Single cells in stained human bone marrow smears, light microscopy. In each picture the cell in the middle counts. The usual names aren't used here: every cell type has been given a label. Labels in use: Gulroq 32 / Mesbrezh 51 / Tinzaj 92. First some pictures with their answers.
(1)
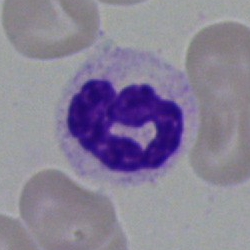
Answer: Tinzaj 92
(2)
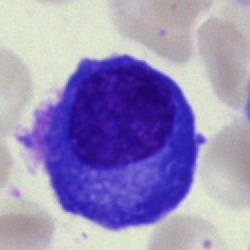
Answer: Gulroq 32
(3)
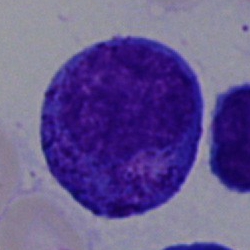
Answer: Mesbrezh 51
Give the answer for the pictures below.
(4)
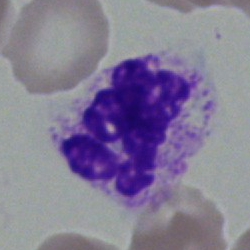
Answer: Tinzaj 92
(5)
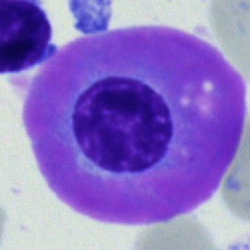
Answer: Gulroq 32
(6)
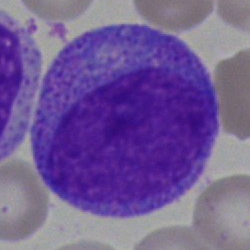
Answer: Mesbrezh 51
